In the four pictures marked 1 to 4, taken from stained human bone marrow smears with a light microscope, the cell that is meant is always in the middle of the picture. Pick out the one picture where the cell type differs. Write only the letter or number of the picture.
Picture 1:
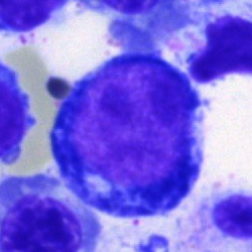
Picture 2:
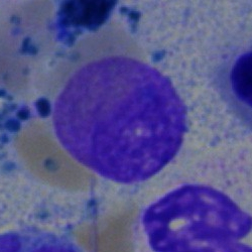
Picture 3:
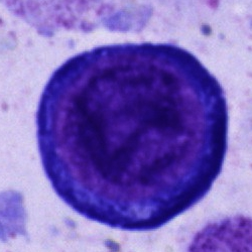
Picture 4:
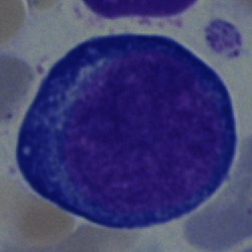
2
